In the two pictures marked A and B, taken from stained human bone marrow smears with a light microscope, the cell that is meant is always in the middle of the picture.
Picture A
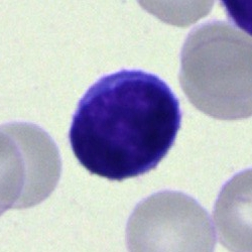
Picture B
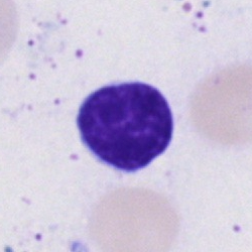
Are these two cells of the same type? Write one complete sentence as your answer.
Yes, the two pictures both show lymphocytes.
